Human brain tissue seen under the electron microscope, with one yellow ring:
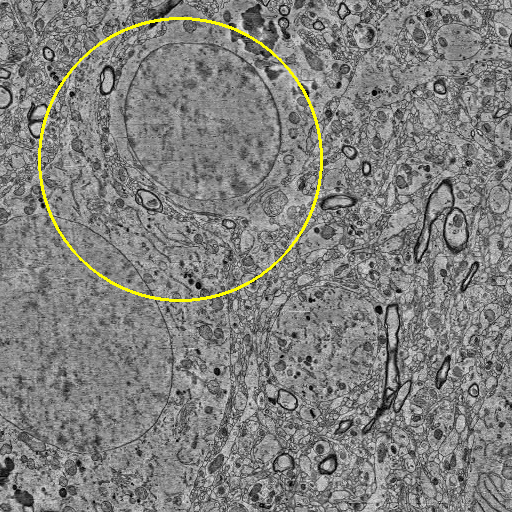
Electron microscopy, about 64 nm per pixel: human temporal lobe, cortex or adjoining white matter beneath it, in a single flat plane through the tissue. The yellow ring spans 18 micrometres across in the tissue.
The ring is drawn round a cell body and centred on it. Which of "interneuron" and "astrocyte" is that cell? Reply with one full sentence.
The picture shows an astrocyte at the very centre of the yellow ring.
